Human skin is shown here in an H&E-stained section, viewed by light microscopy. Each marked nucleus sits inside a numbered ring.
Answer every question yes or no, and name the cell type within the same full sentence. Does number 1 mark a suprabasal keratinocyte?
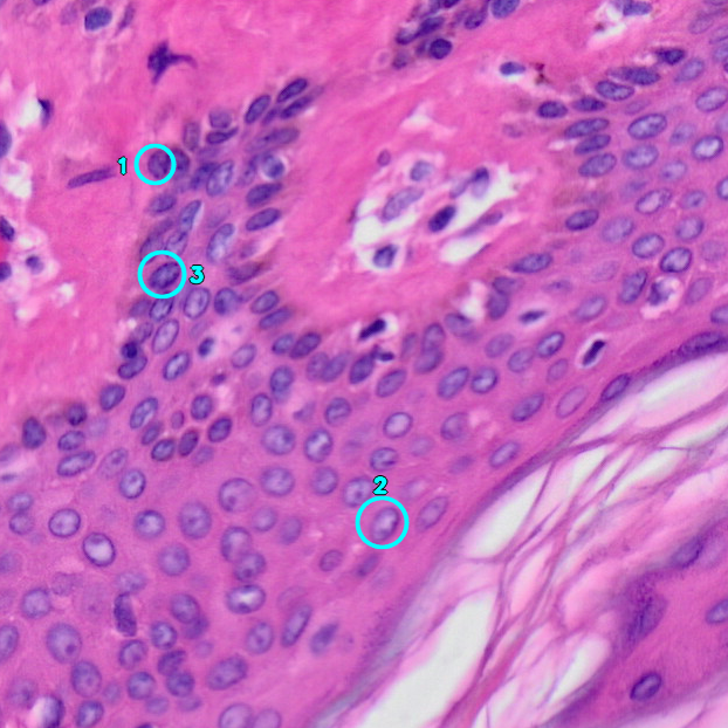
No, instead of a suprabasal keratinocyte, the cell with number 1 is a basal keratinocyte.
